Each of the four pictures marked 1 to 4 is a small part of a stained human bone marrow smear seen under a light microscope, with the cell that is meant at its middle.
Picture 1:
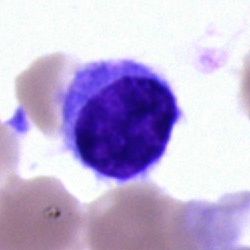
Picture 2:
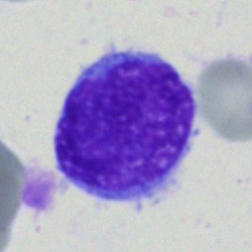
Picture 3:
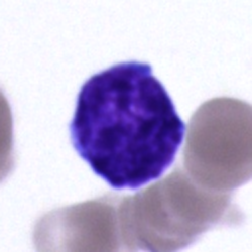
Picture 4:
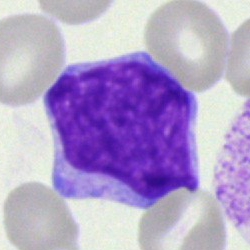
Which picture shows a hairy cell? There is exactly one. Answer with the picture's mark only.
1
